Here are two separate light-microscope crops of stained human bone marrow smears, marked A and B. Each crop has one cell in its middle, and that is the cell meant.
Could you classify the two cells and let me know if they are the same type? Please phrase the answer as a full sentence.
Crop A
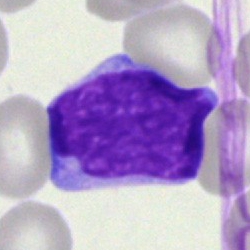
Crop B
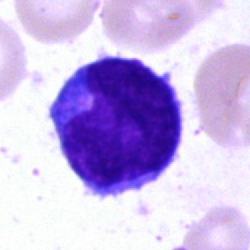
Yes, both crops here show blasts, the pair of them.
